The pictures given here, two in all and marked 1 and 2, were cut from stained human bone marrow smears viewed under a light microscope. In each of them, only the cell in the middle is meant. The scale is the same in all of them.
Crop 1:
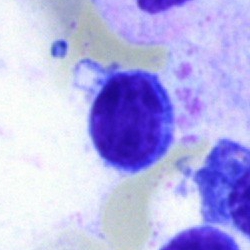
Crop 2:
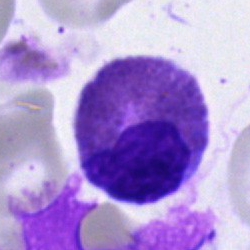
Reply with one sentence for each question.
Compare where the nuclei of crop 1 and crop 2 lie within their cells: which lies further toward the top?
In crop 1 the nucleus is shifted more toward the top.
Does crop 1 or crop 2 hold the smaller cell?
It is the cell in crop 1; the cell in crop 2 has about 2 times its area.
